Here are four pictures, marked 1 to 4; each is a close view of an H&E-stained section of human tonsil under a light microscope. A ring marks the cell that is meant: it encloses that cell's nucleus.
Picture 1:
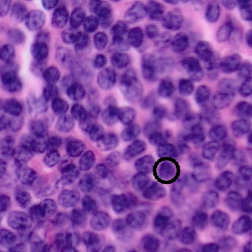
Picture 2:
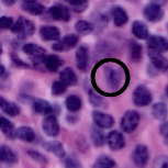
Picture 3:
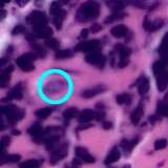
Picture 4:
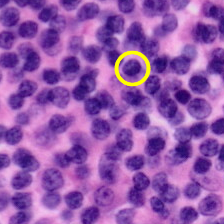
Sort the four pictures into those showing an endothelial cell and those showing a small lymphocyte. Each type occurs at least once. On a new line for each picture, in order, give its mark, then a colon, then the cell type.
1: small lymphocyte
2: endothelial cell
3: endothelial cell
4: small lymphocyte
